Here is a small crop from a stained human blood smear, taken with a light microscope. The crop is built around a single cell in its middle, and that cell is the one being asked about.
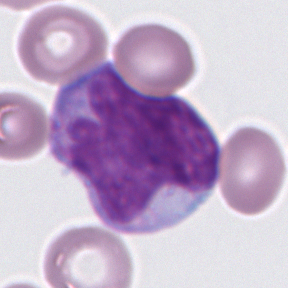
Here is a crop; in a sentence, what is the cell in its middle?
The centrally positioned cell in the crop represents an atypical promyelocyte.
